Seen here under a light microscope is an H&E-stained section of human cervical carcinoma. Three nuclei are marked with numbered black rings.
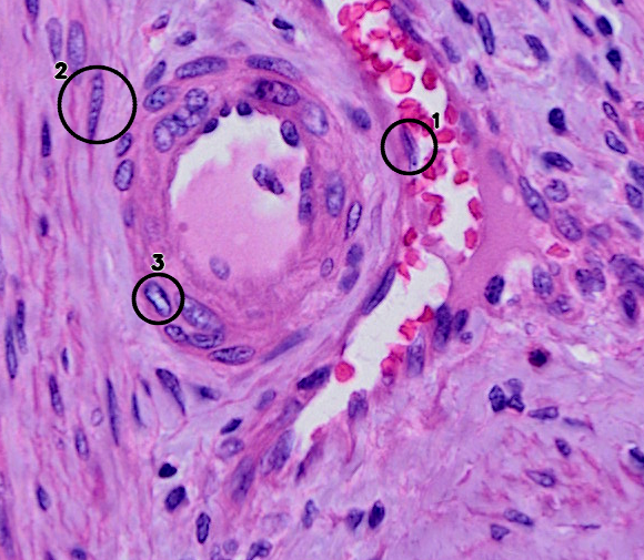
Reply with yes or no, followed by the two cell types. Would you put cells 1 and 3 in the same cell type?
No, cell 1 is an endothelial cell and cell 3 is a smooth muscle cell.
